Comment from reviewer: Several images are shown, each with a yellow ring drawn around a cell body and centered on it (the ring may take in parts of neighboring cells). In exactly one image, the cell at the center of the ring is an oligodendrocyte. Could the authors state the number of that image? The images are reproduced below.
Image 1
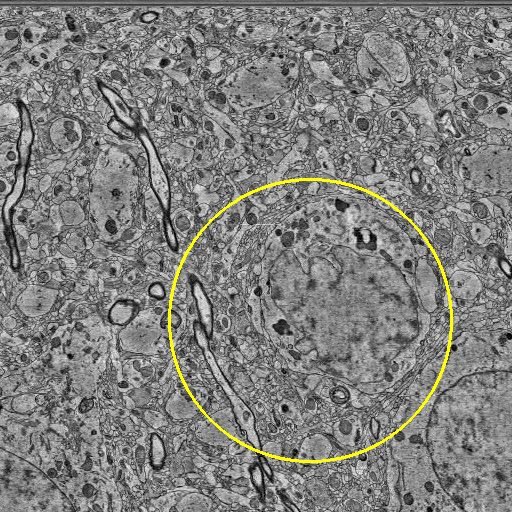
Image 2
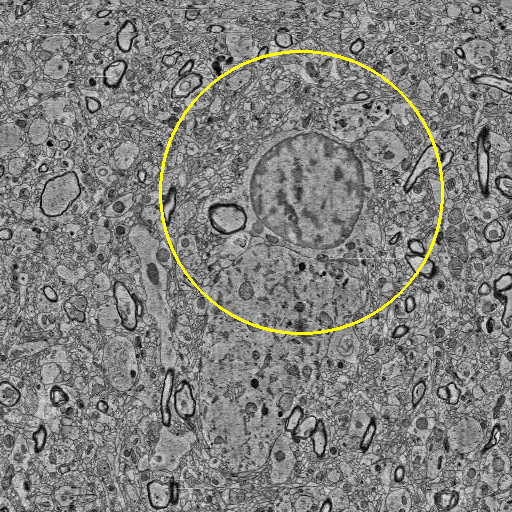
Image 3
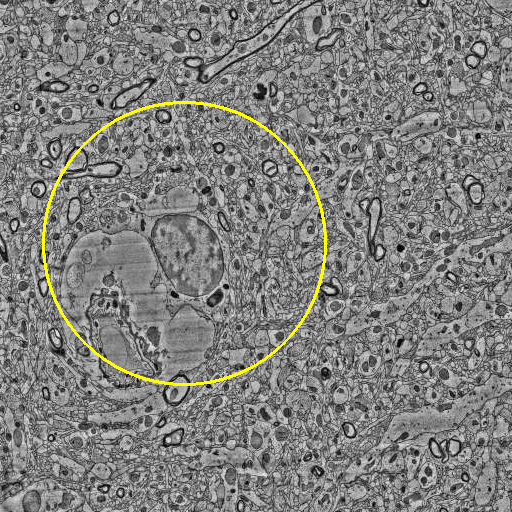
2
